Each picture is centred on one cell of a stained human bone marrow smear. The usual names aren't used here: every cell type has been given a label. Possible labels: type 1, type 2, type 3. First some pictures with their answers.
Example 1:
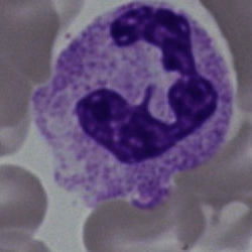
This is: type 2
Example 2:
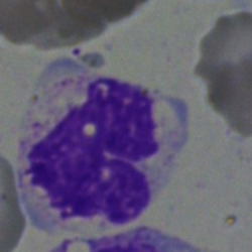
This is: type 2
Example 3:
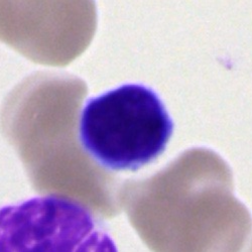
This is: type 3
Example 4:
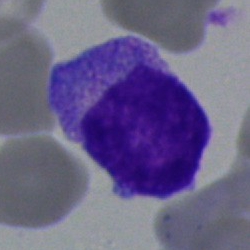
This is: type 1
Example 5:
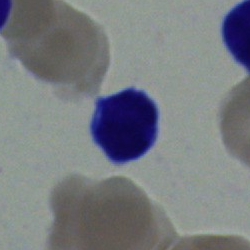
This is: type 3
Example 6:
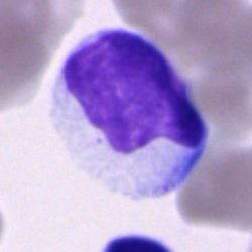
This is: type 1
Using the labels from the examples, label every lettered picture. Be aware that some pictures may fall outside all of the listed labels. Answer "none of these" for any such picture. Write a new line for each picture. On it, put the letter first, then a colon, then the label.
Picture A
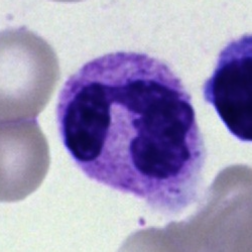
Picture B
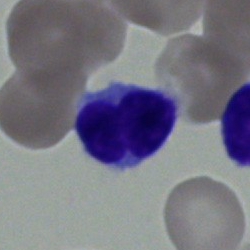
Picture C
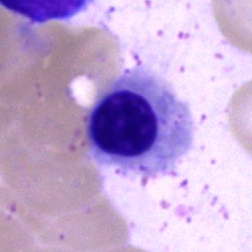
A: type 2
B: type 3
C: none of these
